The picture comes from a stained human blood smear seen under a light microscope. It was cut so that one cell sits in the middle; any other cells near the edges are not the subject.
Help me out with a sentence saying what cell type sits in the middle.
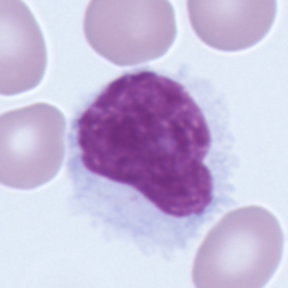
The single cell at the center of the crop is a hairy cell.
